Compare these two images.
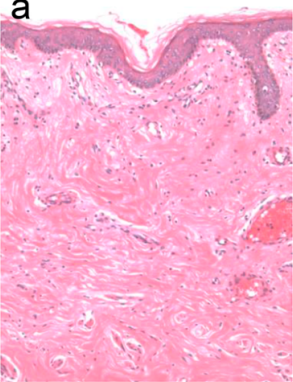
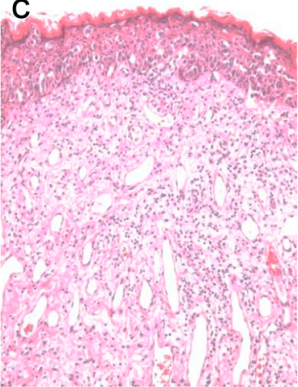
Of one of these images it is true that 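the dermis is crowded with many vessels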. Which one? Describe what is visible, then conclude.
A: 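Second image: numerous open, thin-walled vascular spaces fill the dermis. First image: the dermis is mostly dense pink collagen with only a few vessels.
Hence: the second image.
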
